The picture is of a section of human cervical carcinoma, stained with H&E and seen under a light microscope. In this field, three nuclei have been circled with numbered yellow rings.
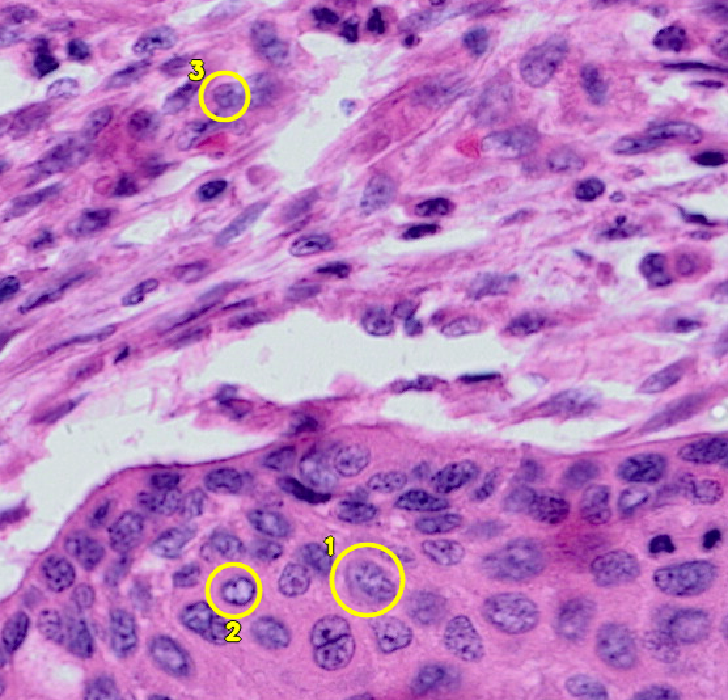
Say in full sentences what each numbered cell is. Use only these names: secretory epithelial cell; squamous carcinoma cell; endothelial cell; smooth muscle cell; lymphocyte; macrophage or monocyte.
Cells 1 and 2 are squamous carcinoma cells. Cell 3 is an endothelial cell.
